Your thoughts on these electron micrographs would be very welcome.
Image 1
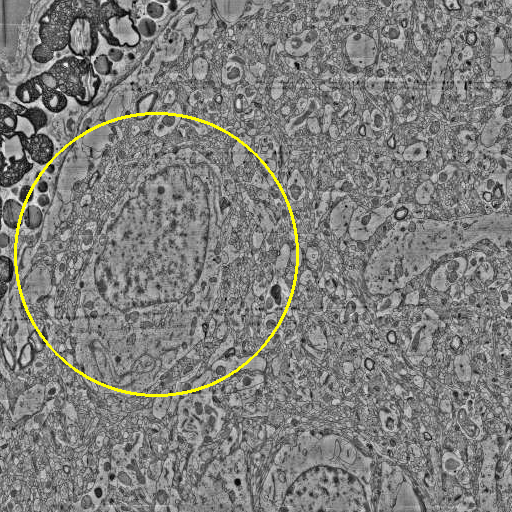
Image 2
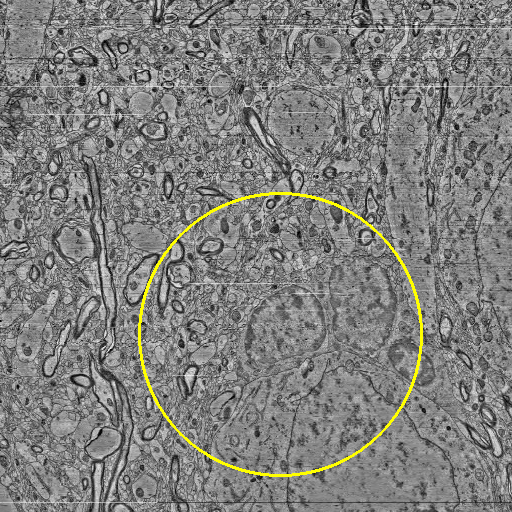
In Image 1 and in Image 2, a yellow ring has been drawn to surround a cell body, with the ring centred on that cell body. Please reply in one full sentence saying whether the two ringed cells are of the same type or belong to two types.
The ringed cells in Image 1 and Image 2 belong to two types.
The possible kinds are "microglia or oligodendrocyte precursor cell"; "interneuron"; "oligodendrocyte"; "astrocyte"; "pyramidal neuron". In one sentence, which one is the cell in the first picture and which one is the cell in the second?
The cell ringed in the second picture is an oligodendrocyte, whereas the one ringed in the first is an interneuron.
